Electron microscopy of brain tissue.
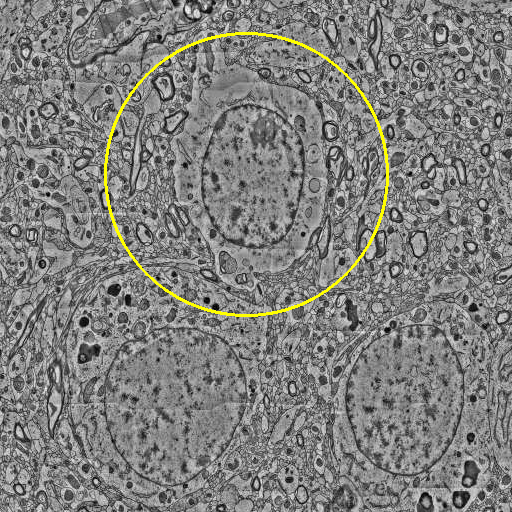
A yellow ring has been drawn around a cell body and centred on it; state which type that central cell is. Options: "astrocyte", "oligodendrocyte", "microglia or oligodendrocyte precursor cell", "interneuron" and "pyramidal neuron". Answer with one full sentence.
The cell at the middle of the yellow ring is an astrocyte in this picture.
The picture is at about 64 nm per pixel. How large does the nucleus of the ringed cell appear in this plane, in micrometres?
About 9 micrometres by about 7 micrometres in this plane.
